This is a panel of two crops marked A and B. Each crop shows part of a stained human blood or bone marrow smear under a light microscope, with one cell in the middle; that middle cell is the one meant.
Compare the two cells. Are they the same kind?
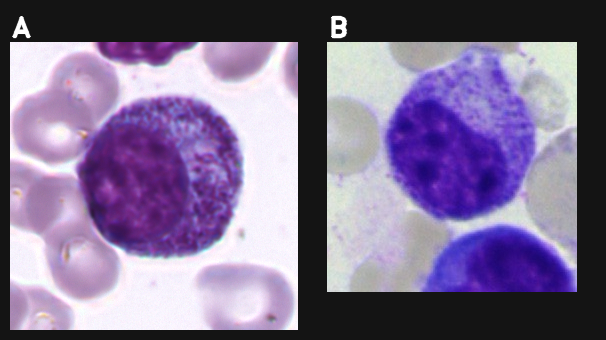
no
